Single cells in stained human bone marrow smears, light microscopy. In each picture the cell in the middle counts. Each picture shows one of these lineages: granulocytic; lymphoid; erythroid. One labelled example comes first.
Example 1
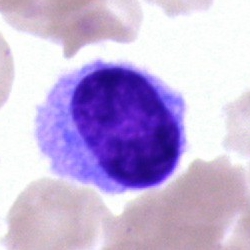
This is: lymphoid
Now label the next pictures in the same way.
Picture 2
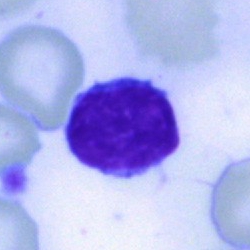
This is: lymphoid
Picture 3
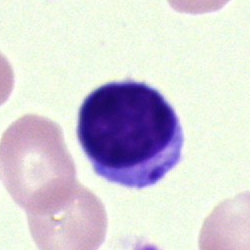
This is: lymphoid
